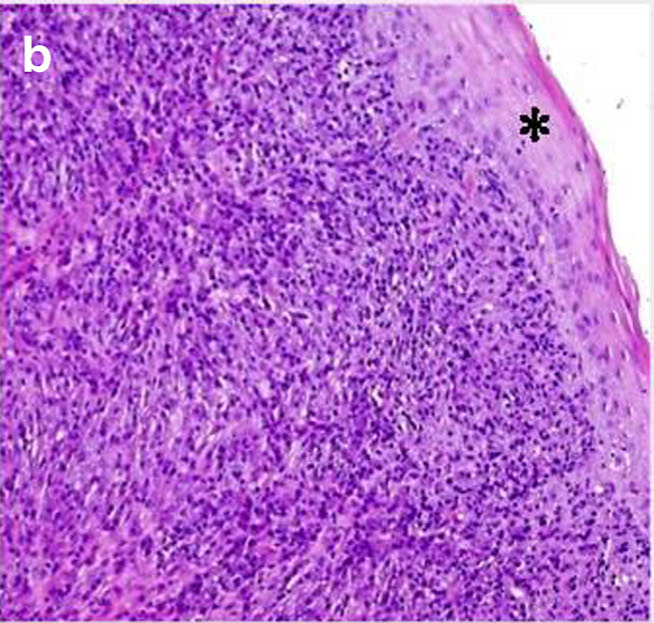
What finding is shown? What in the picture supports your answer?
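Dense, highly cellular sheets fill most of the field. Many cells have elongated, spindle-shaped nuclei. The spindle cells run in interlacing streams. On this evidence: proliferation of fusiform cells.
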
